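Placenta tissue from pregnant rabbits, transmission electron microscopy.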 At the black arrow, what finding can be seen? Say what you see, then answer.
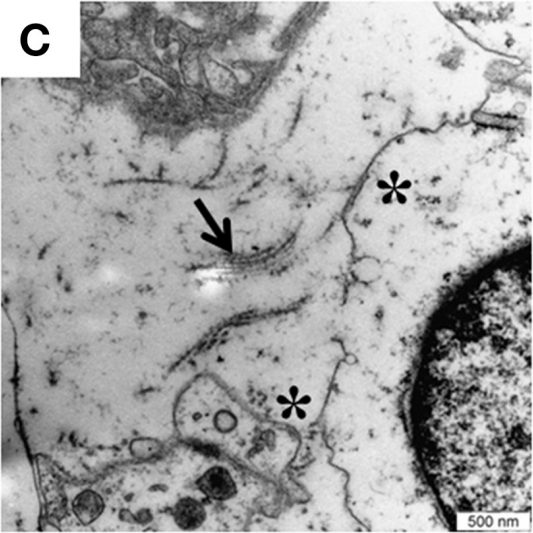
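The arrow points to a thin, isolated strand of a few parallel fibrils. Only scattered small fibril strands are present in a largely empty matrix. That points to this answer: loss of collagen fibers.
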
